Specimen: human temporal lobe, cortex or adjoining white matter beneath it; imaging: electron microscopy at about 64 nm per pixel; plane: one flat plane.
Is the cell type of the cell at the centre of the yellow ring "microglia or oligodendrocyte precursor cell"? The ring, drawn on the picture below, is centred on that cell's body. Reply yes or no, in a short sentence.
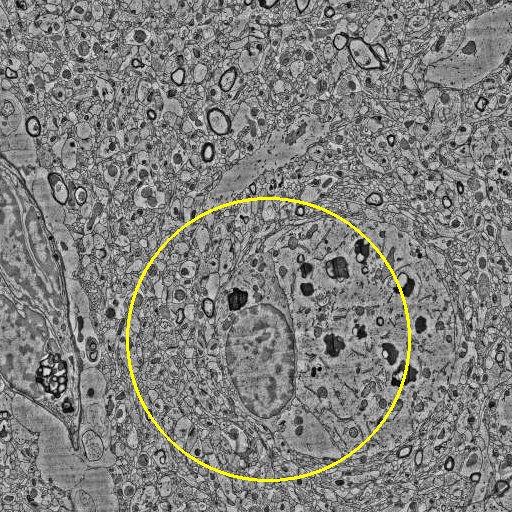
No, its cell type is another.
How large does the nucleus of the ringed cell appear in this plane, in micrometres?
In this plane, about 7 by 5 micrometres: the nucleus is clearly longer than it is wide.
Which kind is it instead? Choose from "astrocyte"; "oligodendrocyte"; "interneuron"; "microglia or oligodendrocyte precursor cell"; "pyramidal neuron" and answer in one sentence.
The cell ringed in the picture is an oligodendrocyte.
